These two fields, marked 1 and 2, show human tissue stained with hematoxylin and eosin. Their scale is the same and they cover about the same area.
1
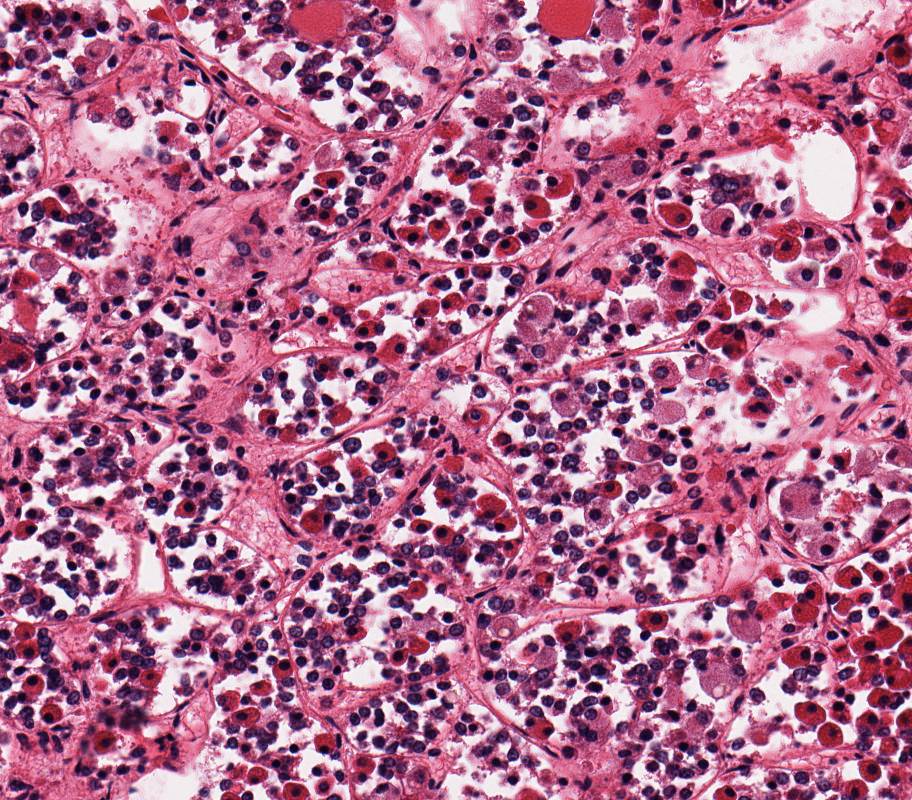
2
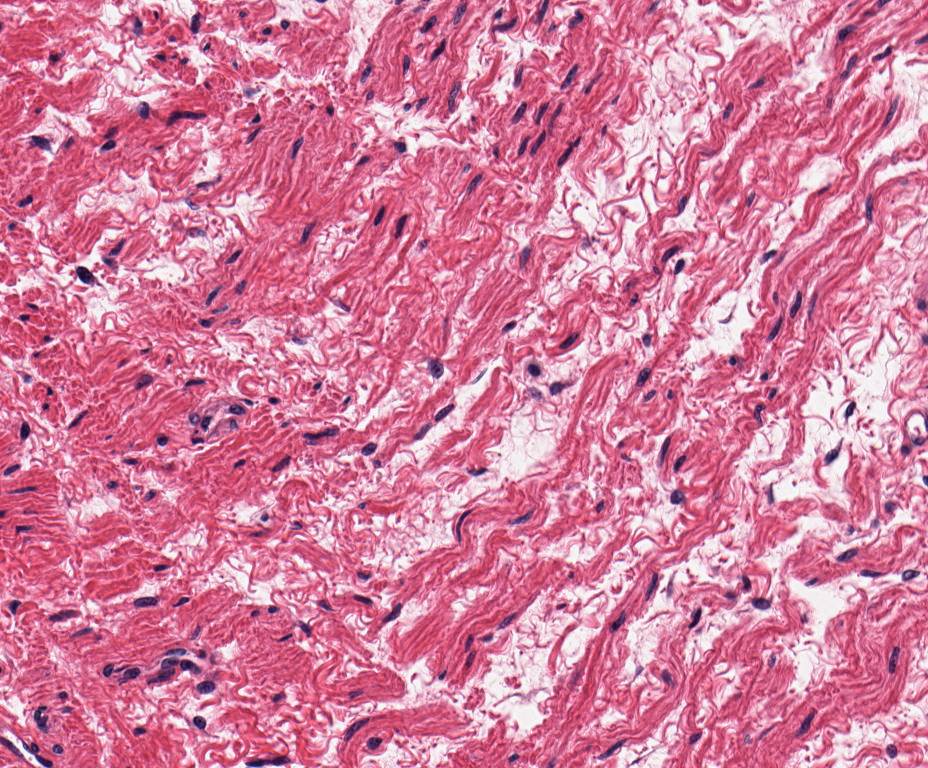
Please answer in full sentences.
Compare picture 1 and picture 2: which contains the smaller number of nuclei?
It is picture 2 that has fewer nuclei in it.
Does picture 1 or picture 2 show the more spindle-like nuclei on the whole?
On the whole the nuclei of picture 2 are more drawn out than those of picture 1.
